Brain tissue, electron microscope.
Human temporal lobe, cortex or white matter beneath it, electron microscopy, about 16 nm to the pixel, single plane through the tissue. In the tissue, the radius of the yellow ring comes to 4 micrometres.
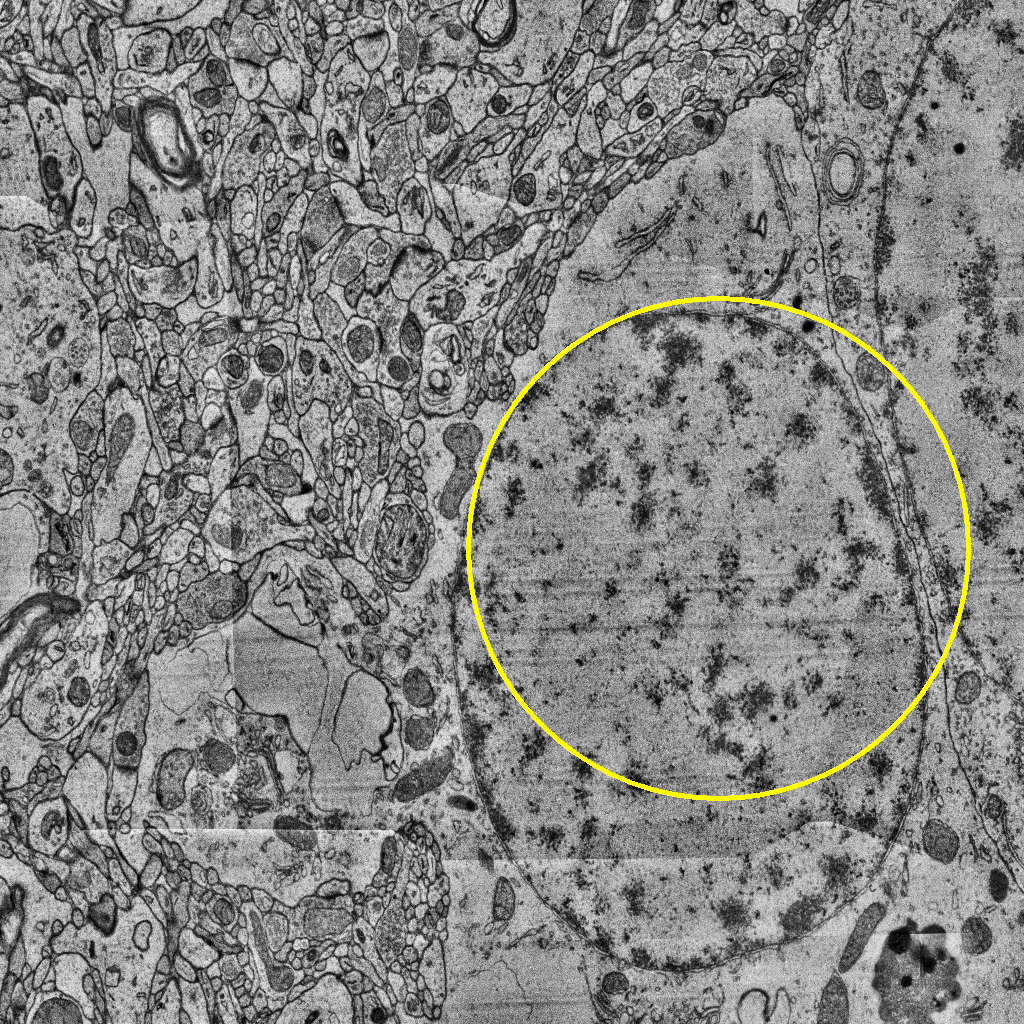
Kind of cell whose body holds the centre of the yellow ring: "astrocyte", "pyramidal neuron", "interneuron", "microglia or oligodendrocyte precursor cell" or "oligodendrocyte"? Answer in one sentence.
The ring's centre falls on an astrocyte.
